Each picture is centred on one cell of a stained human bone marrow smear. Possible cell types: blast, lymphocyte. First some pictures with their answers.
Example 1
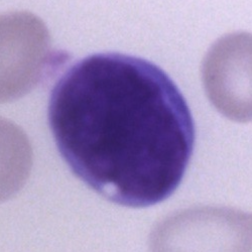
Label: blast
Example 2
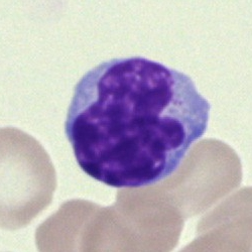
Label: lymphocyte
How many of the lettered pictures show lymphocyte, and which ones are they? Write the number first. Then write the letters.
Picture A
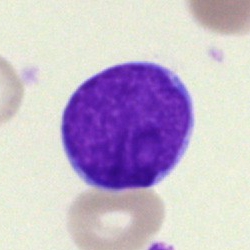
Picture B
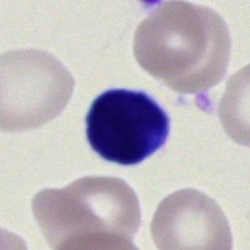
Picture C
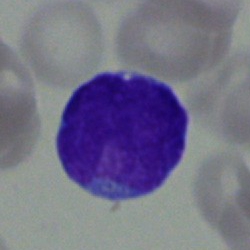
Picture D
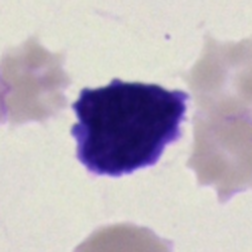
Count: 1 (B)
